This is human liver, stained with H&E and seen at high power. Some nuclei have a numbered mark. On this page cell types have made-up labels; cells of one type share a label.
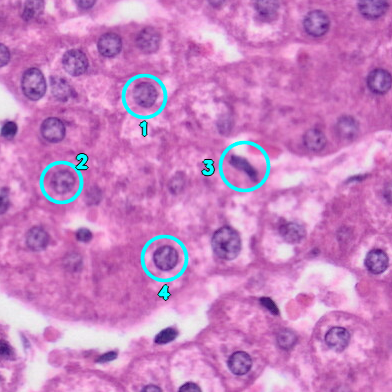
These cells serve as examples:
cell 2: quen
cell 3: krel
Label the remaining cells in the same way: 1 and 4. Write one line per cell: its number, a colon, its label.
1: quen
4: quen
